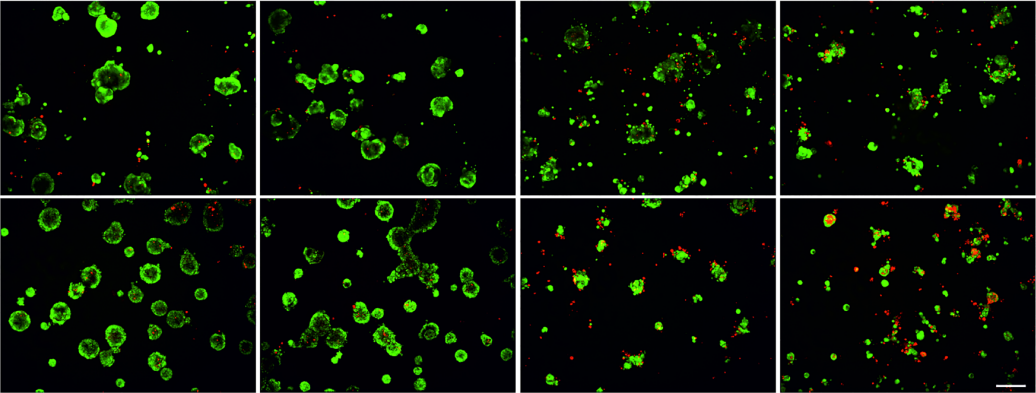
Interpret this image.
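In the left-hand images most cells form rounded, fairly compact clusters of varying size. Toward the right-hand images the clusters become smaller, irregular and fragmented, with ragged outlines. Red dots become much more numerous, lying among the clusters and within them. Some clusters in the far right images appear orange where red and green overlap.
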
